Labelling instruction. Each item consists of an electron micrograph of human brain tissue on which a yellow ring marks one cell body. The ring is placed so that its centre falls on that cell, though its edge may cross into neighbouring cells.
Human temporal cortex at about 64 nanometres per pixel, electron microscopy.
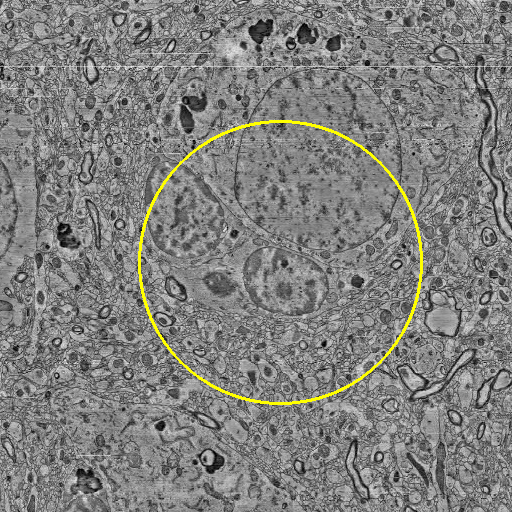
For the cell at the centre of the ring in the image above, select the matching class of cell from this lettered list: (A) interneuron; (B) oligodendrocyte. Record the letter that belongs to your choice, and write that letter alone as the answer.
B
